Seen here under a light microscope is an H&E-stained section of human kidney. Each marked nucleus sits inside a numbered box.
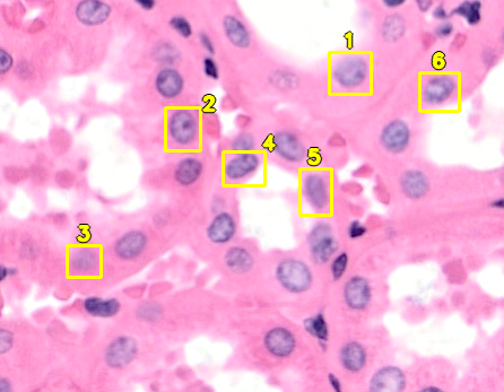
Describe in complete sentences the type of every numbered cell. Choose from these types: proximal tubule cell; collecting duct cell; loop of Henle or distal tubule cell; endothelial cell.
Cells 1 and 6 are loop of Henle or distal tubule cells. Cells 2 and 3 are proximal tubule cells. Cells 4 and 5 are collecting duct cells.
